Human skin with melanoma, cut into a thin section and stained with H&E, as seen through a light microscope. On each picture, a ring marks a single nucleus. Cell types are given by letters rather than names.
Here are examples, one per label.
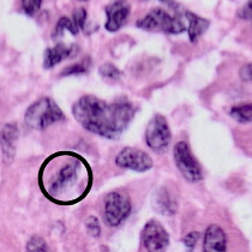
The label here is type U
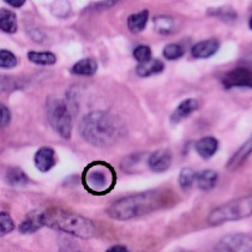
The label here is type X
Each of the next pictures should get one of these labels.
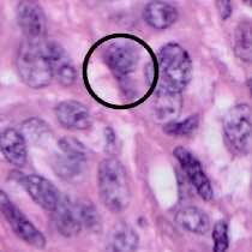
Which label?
type U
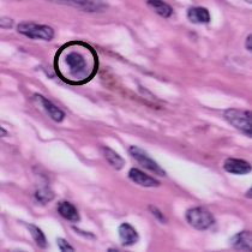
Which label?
type X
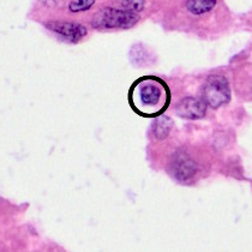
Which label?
type X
